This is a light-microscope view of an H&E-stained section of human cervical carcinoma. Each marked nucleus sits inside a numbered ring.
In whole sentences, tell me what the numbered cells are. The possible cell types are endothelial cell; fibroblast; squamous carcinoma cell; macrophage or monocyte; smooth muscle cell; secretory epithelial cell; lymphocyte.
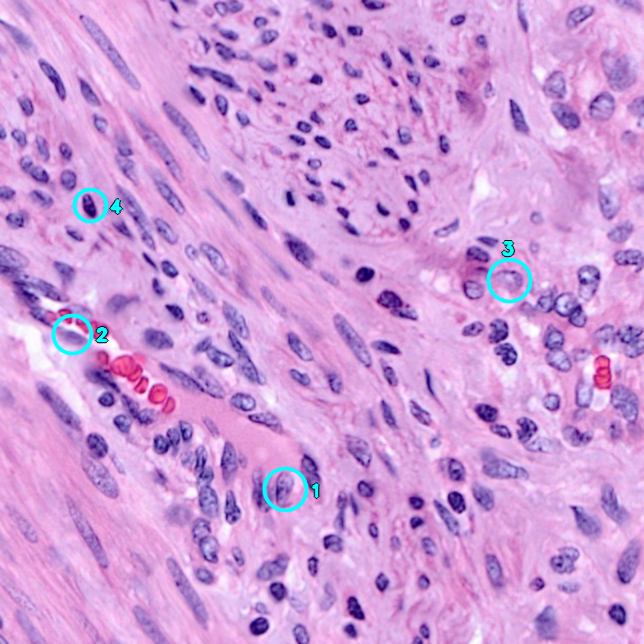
Cells 1, 2 and 3 are endothelial cells. Cell 4 is a lymphocyte.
